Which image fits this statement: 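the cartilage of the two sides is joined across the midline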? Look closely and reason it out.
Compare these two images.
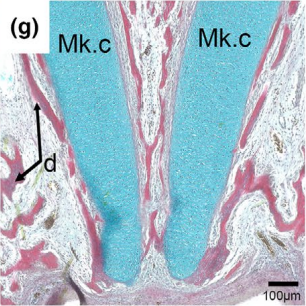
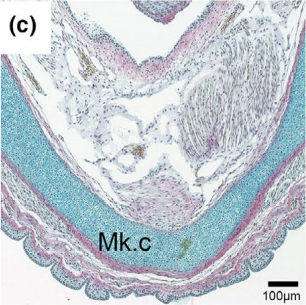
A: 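First image: two separate blue cartilage rods run side by side, with tissue between their tips. Second image: one continuous U-shaped blue cartilage band crosses the midline. On this evidence: the second image.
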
